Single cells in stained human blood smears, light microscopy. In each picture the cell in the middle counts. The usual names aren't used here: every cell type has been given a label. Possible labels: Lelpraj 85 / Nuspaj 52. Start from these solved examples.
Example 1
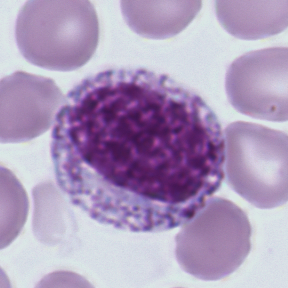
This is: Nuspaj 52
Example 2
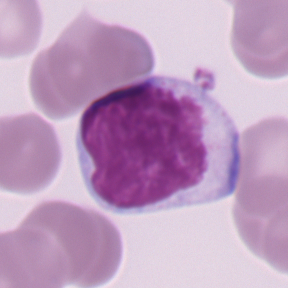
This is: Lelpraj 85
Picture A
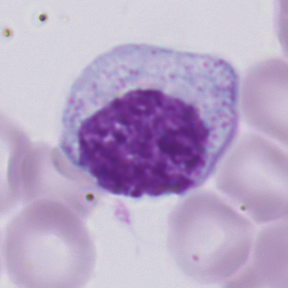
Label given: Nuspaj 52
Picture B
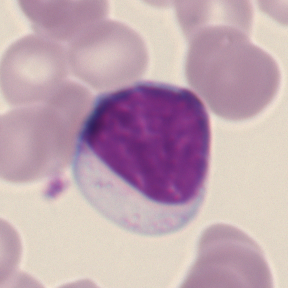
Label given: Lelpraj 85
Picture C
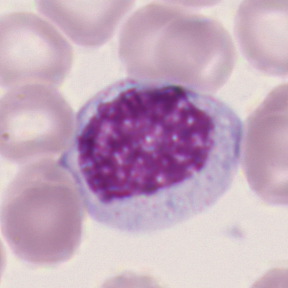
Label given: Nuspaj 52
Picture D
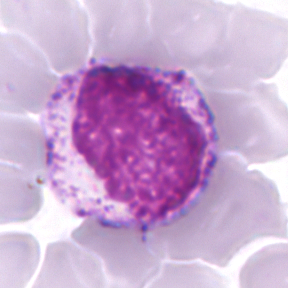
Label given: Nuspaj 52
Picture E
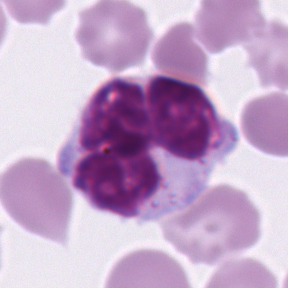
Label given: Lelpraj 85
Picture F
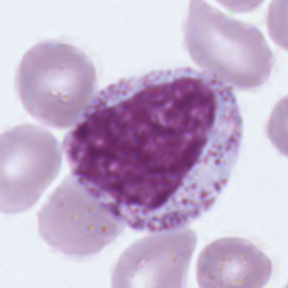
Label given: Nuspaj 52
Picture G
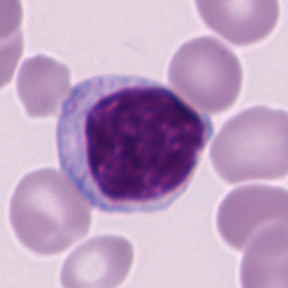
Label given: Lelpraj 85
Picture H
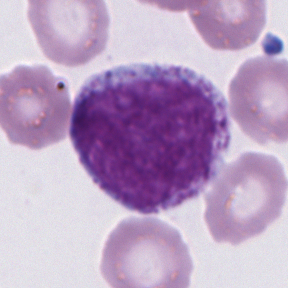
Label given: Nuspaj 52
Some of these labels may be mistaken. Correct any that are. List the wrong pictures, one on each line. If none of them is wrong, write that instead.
None of the labels needs changing.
